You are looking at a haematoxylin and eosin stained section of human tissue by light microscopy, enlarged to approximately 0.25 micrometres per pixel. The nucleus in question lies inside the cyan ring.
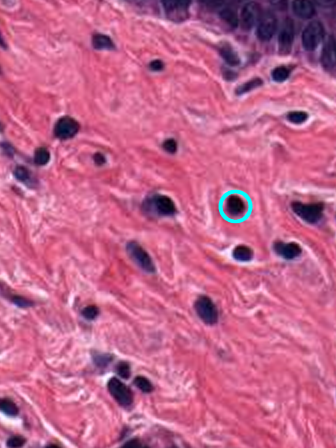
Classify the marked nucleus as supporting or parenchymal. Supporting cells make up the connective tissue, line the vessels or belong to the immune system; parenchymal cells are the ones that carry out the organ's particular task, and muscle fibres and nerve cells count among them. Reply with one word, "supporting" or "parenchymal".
supporting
